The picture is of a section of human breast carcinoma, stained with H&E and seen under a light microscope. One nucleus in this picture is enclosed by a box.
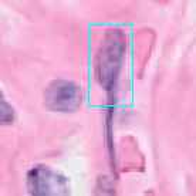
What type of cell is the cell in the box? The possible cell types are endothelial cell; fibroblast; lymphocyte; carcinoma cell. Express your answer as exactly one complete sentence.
Speaking plainly, the cell in the box is nothing other than an endothelial cell.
